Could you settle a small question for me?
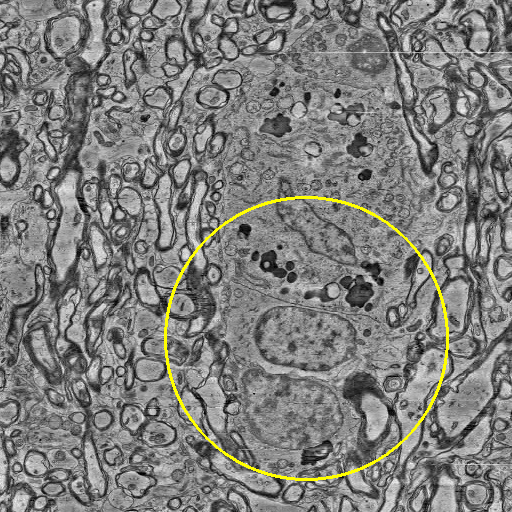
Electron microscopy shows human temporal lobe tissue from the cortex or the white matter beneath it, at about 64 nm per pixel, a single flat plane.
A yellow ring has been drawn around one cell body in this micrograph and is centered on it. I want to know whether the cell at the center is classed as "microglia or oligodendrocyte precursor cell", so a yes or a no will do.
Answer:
yes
